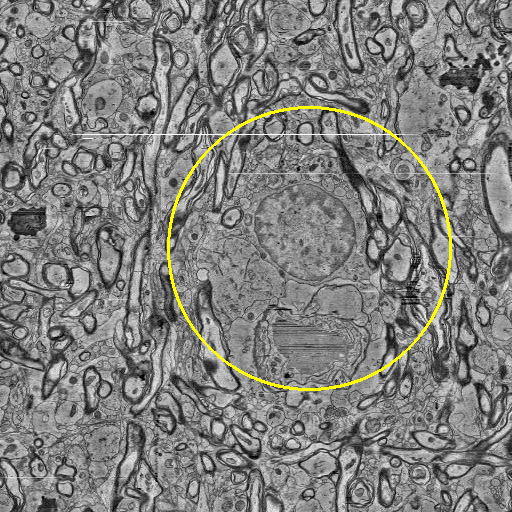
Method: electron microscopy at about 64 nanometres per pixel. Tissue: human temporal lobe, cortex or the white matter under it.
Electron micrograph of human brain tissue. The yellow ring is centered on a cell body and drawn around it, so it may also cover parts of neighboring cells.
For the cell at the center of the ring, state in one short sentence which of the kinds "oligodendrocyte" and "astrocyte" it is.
This ring is centered on an oligodendrocyte.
